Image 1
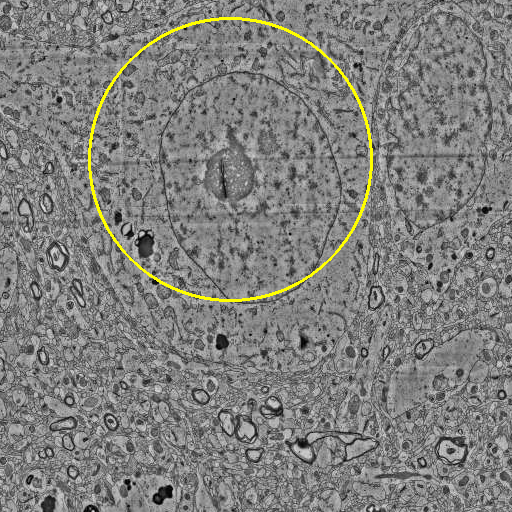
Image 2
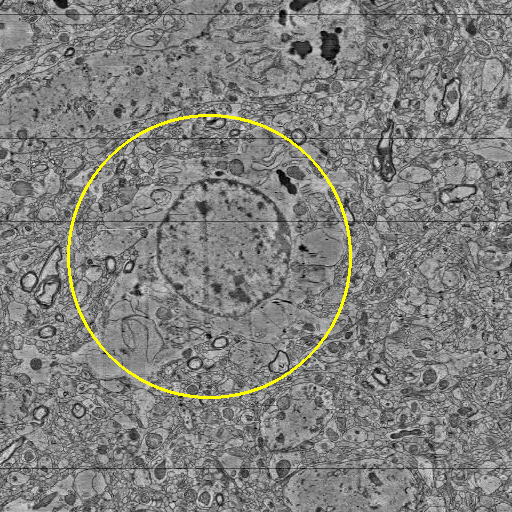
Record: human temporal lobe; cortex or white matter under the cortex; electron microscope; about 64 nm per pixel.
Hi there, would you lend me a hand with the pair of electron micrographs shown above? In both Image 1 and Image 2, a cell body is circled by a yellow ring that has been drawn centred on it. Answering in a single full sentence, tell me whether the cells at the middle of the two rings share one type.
No, the ringed cells in Image 1 and Image 2 belong to two types.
